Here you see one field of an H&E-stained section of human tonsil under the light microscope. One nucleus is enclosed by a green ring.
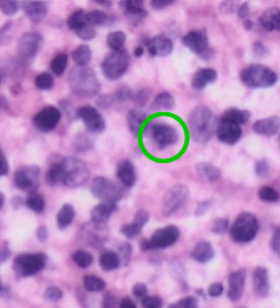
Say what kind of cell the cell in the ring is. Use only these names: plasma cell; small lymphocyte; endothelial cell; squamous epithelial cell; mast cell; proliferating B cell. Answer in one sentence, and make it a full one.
At the level of cell identity, the cell in the ring is a proliferating B cell.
